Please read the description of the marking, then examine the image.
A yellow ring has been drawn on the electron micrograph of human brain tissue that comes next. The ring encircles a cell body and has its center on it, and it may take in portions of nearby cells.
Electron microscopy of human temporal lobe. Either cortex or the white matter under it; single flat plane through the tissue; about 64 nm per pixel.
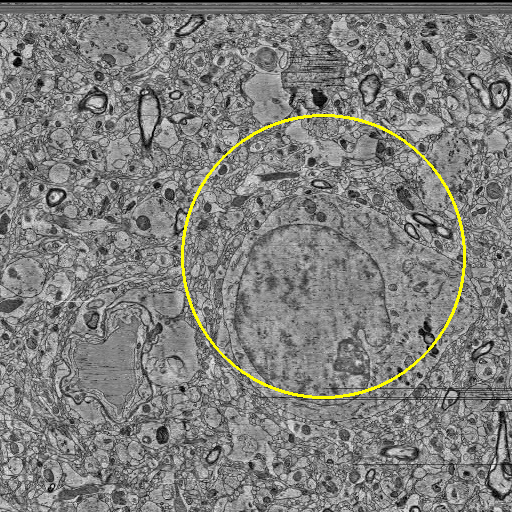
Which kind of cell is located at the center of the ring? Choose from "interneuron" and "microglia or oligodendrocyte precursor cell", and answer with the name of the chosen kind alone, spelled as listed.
interneuron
